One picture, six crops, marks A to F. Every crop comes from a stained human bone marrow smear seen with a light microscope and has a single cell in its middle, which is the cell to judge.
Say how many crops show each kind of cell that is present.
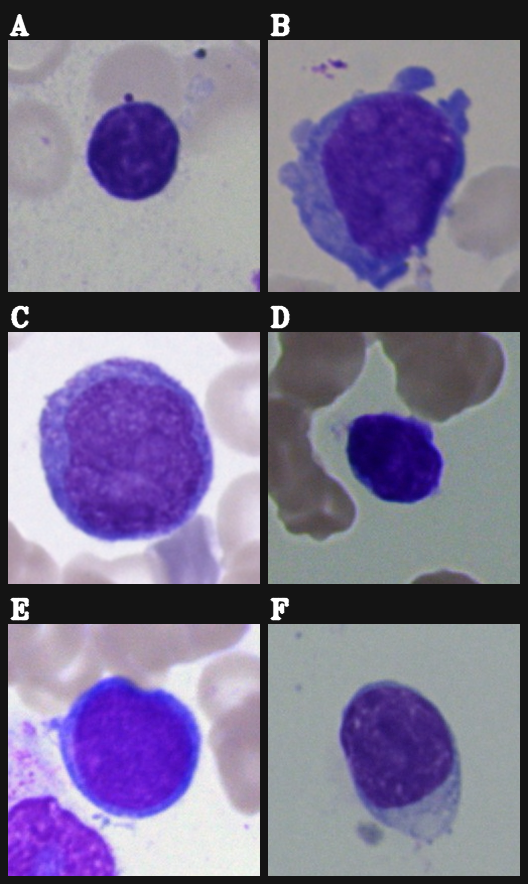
lymphocyte: 3
blast: 3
